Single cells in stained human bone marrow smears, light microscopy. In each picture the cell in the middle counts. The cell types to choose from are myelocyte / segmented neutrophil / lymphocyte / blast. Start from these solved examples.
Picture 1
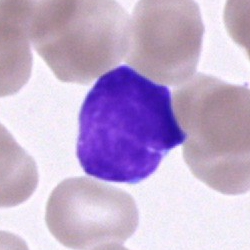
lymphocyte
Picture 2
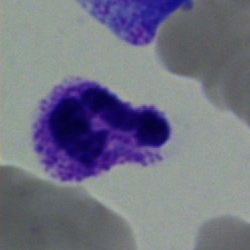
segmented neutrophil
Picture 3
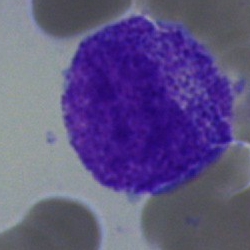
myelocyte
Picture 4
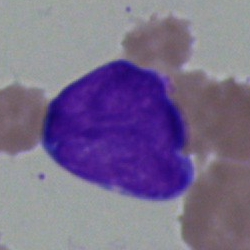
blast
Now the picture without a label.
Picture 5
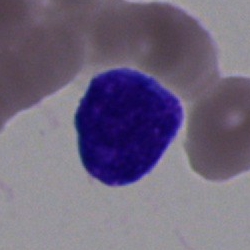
blast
